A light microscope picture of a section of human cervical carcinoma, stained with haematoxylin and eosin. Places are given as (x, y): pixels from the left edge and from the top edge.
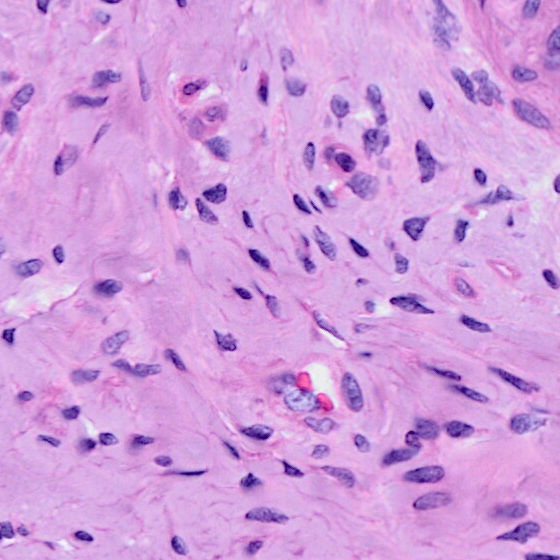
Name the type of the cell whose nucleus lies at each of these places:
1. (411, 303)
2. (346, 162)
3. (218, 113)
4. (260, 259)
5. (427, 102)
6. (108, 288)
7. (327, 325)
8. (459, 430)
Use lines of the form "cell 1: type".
cell 1: fibroblast
cell 2: endothelial cell
cell 3: endothelial cell
cell 4: fibroblast
cell 5: fibroblast
cell 6: fibroblast
cell 7: endothelial cell
cell 8: fibroblast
